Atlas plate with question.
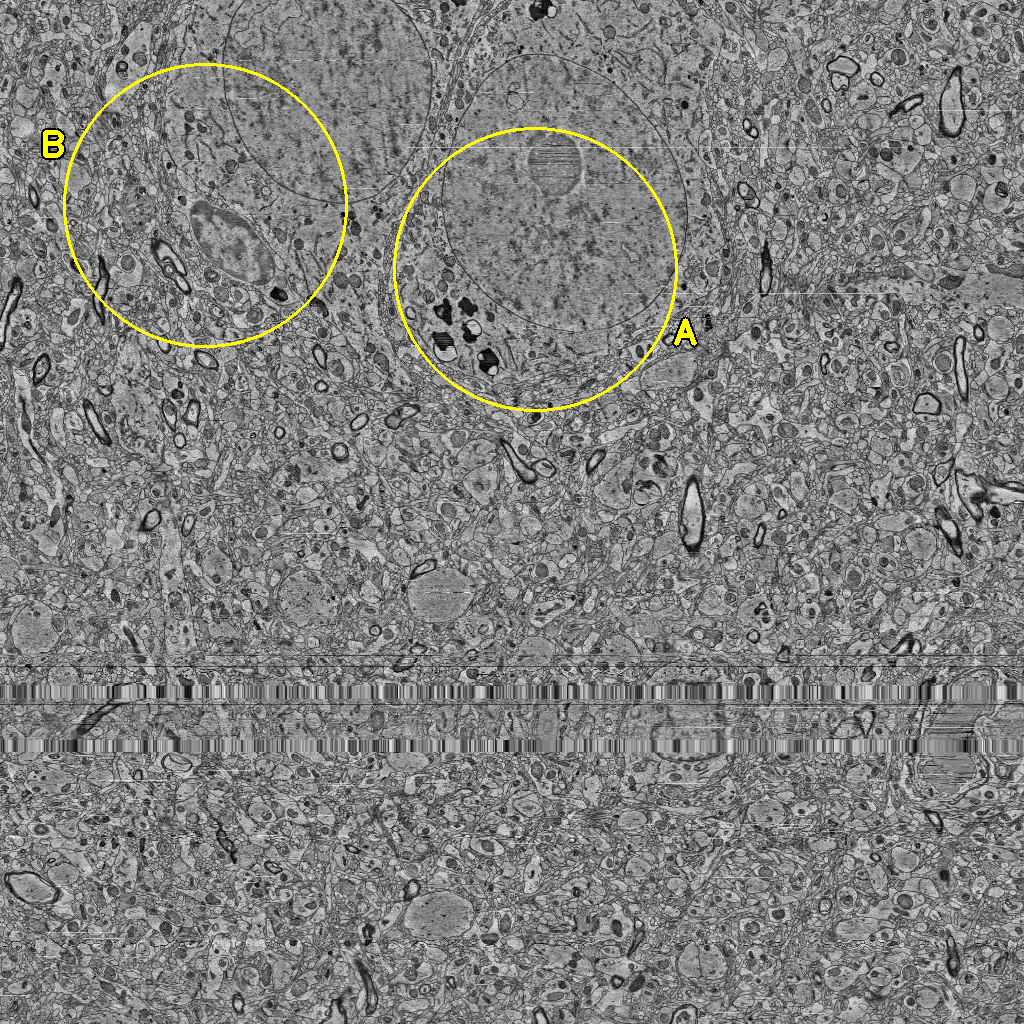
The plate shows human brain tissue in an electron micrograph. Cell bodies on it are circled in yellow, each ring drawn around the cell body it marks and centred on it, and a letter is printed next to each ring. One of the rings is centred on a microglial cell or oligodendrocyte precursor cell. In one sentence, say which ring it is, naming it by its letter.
It is ring B.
